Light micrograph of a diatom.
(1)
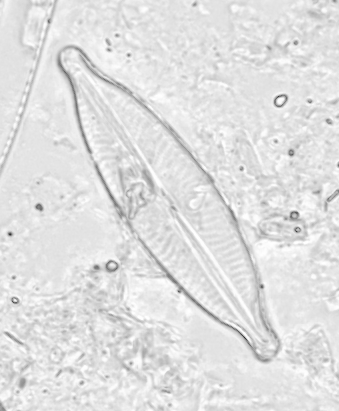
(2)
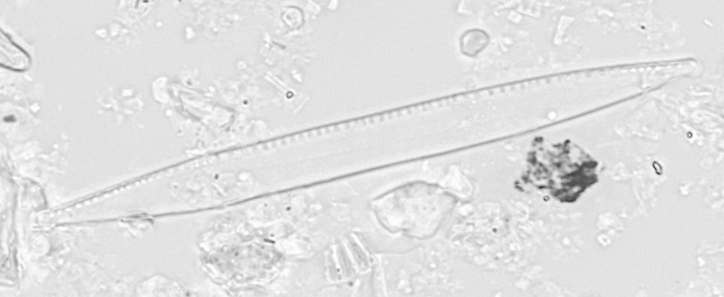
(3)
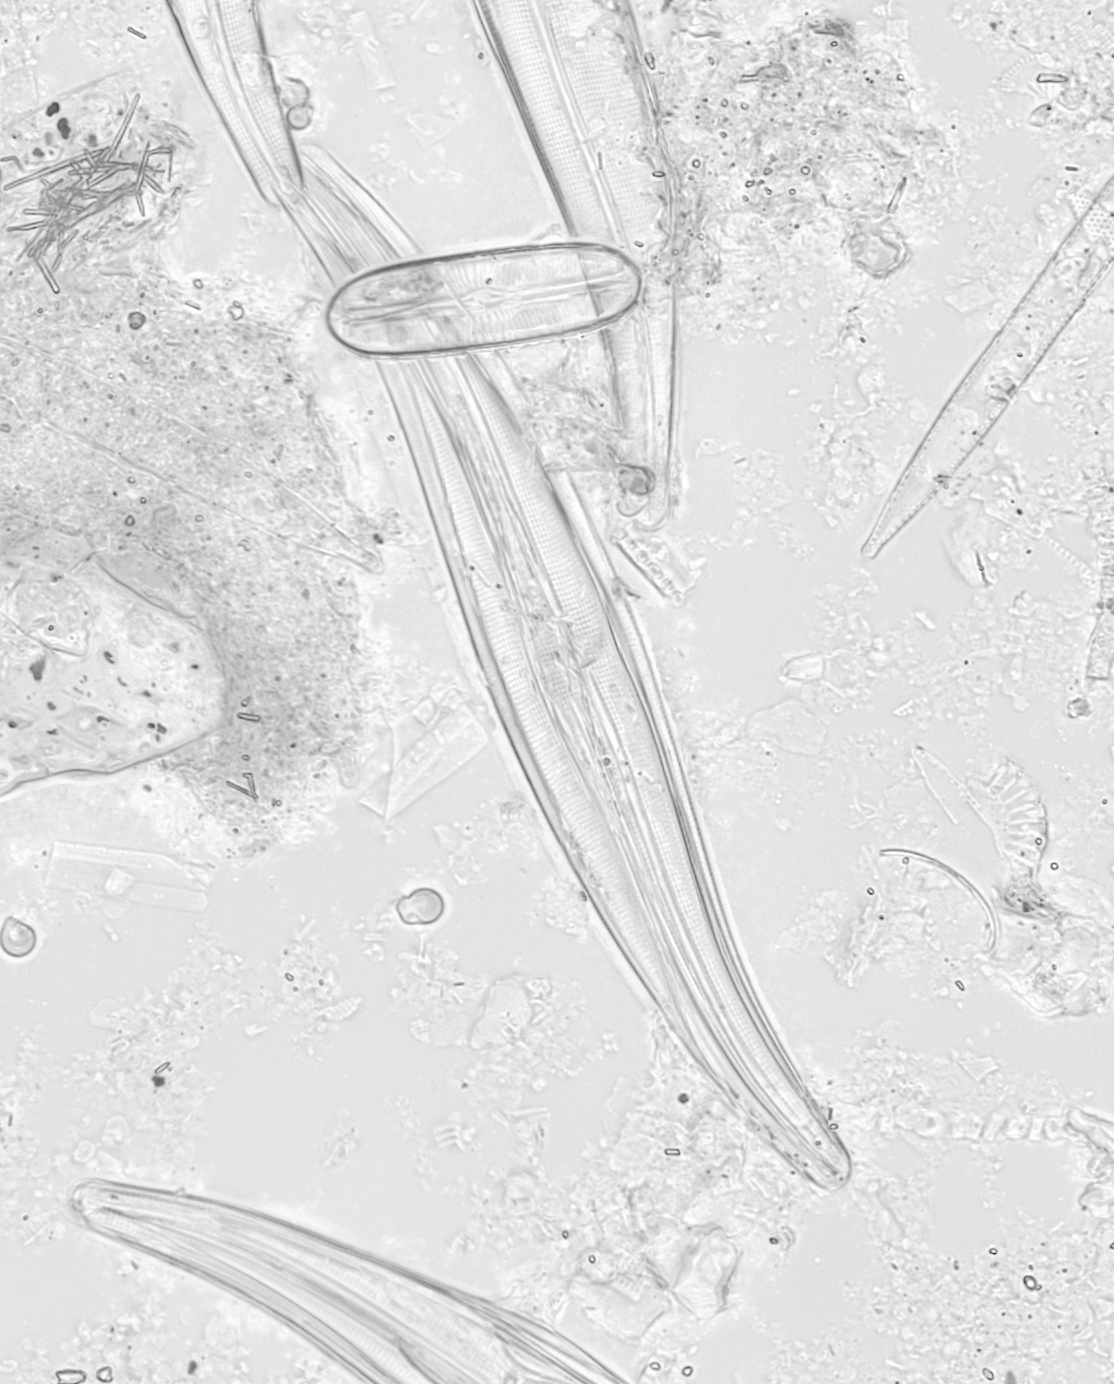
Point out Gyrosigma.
That is picture 3.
